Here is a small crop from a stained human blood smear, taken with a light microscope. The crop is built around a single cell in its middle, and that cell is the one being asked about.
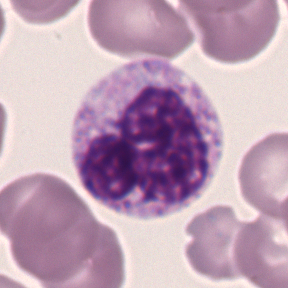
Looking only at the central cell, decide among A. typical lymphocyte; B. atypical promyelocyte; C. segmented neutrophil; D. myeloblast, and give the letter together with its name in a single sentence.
For this crop, option C is right, the centered cell being a segmented neutrophil.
